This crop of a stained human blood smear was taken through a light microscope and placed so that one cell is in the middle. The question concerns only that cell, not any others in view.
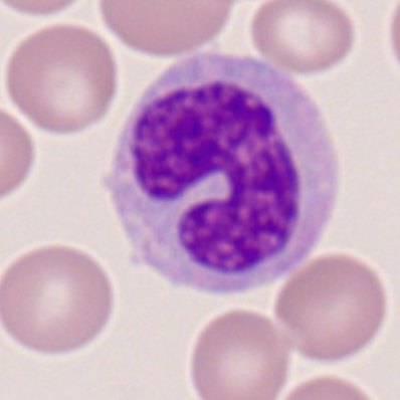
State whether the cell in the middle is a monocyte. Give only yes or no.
yes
